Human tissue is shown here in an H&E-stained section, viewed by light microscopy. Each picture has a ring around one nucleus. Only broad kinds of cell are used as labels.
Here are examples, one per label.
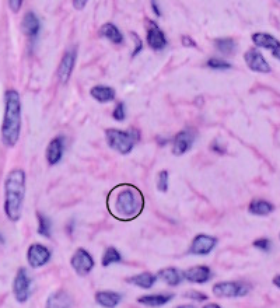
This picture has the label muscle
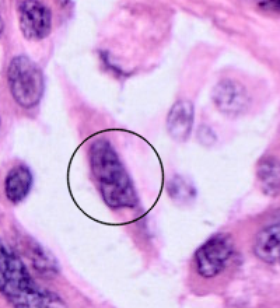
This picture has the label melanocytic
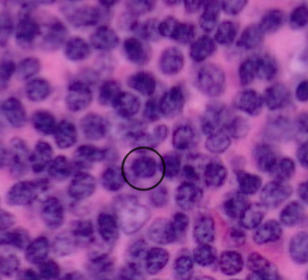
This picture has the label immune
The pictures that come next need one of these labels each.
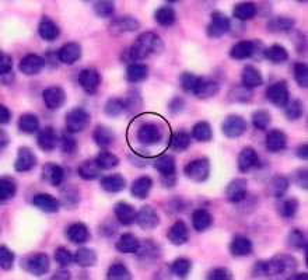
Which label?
immune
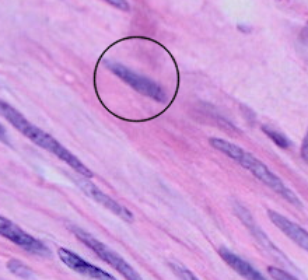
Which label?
muscle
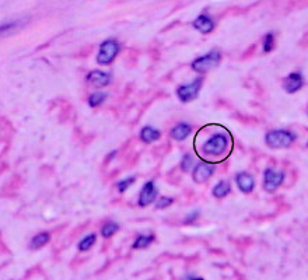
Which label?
muscle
